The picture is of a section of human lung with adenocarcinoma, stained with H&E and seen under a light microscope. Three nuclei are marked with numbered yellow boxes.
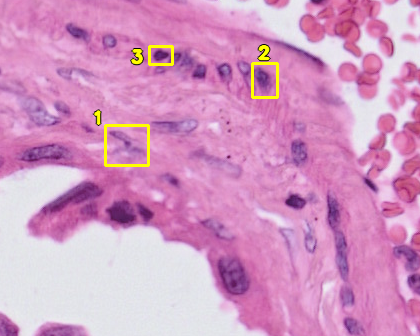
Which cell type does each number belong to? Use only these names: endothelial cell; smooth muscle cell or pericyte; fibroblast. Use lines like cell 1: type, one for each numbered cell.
cell 1: fibroblast
cell 2: smooth muscle cell or pericyte
cell 3: smooth muscle cell or pericyte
